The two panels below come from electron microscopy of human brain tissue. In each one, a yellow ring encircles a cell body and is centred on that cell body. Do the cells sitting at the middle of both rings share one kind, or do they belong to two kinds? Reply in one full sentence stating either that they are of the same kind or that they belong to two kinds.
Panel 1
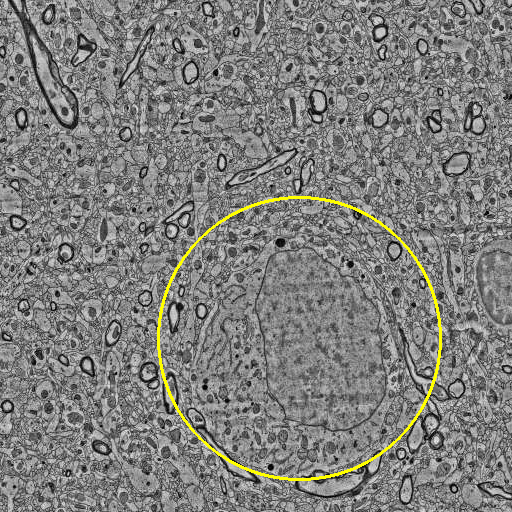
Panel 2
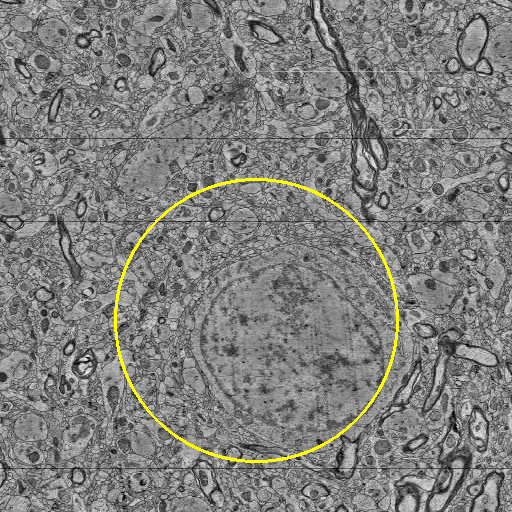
The cells at the centres of the two rings belong to two kinds.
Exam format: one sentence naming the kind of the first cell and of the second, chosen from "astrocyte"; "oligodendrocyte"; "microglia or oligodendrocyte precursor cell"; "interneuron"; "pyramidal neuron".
The first picture's cell is a pyramidal neuron, and the second picture's cell is an interneuron.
